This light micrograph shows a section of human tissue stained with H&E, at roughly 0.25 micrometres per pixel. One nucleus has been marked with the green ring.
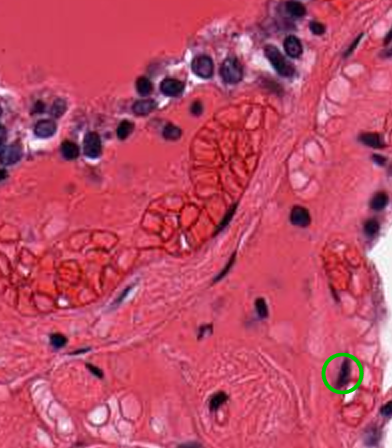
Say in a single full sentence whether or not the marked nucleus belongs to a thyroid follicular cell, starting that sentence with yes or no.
No, it is a supporting cell, not a thyroid follicular cell, to which the marked nucleus belongs.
